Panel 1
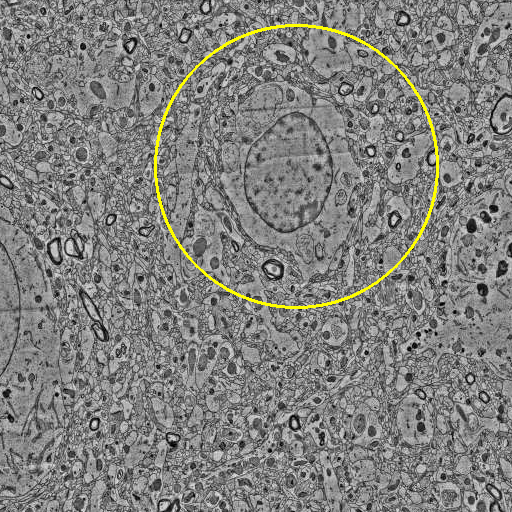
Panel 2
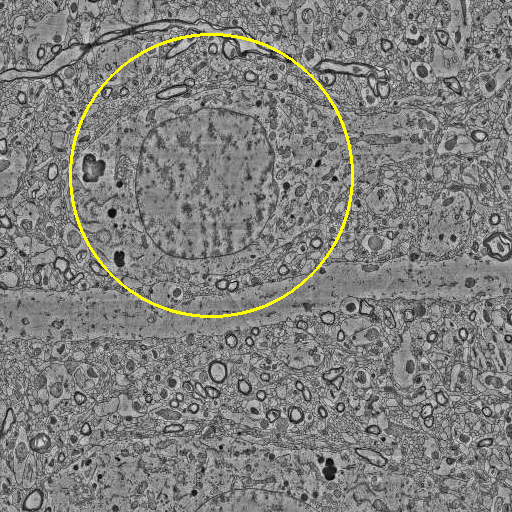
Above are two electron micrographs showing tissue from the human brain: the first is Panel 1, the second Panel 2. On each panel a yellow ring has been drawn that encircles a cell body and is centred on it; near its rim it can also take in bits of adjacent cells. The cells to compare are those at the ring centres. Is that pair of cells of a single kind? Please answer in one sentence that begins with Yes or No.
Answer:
No, the ring-centred cells of Panel 1 and Panel 2 belong to two kinds.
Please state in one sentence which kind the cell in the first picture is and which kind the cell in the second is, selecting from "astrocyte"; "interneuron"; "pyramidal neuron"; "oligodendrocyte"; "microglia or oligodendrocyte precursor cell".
The first ringed cell is an astrocyte, the second ringed cell a pyramidal neuron.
